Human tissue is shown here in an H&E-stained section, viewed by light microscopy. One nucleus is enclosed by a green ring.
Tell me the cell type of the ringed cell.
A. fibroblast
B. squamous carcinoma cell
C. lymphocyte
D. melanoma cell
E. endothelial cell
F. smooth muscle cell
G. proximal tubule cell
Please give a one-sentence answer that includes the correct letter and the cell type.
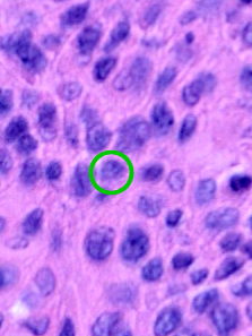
Since the ringed cell is a squamous carcinoma cell, the right option is B.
